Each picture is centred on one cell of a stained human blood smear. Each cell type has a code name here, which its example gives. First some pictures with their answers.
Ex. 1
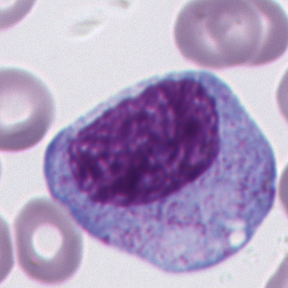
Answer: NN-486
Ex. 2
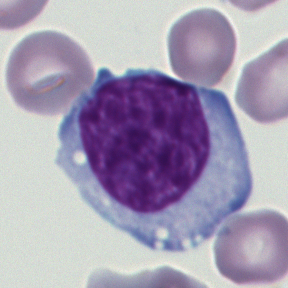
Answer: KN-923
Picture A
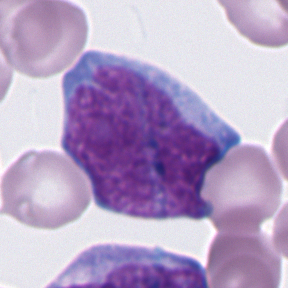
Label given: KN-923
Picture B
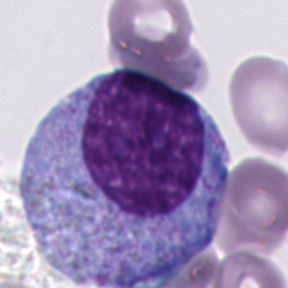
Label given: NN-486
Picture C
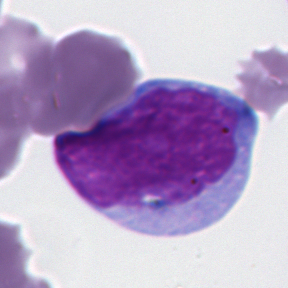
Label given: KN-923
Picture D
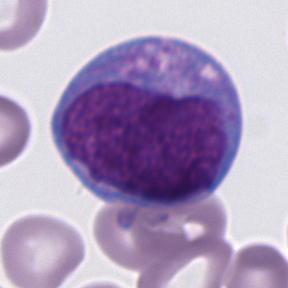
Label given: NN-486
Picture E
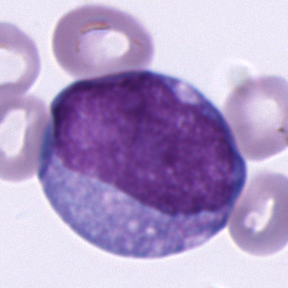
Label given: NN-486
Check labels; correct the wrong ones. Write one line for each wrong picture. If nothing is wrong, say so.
None of the labels needs changing.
